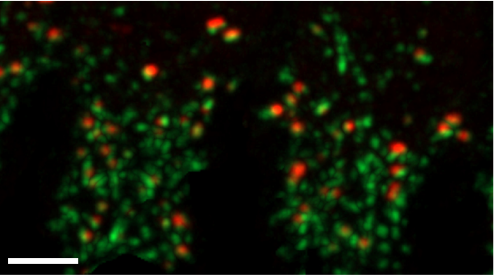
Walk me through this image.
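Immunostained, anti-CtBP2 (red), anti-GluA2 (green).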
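Two neighbouring rounded clusters of many small green puncta fill the lower part of the field, outlining the bases of two adjacent cells with a dark gap between them. Fewer, brighter red puncta are scattered among the green, and several sit directly against a green spot.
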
